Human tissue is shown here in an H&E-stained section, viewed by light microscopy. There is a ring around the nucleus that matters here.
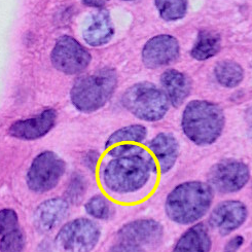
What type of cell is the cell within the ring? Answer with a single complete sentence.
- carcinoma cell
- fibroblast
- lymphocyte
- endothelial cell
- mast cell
In this tissue sample, the cell within the ring is a carcinoma cell.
